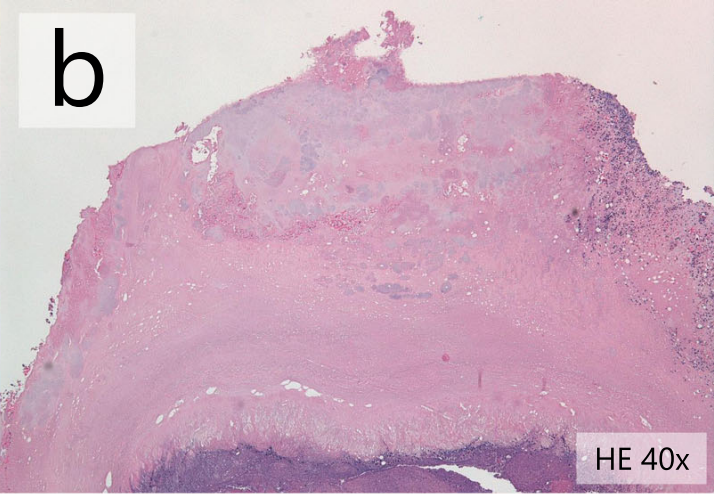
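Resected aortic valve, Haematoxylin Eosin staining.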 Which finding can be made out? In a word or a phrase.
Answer: Fibrin precipitation and necrosis.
